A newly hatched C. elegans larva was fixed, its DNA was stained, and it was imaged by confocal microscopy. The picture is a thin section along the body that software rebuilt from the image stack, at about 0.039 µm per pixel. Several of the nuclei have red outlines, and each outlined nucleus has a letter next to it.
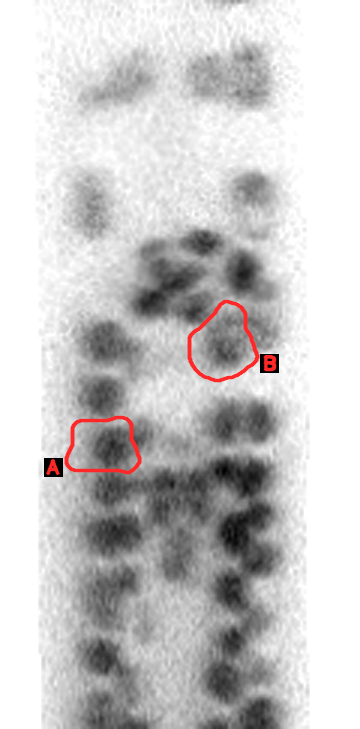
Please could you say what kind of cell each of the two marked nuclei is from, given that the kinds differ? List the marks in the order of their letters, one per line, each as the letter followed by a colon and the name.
A: neuron
B: pharyngeal muscle cell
